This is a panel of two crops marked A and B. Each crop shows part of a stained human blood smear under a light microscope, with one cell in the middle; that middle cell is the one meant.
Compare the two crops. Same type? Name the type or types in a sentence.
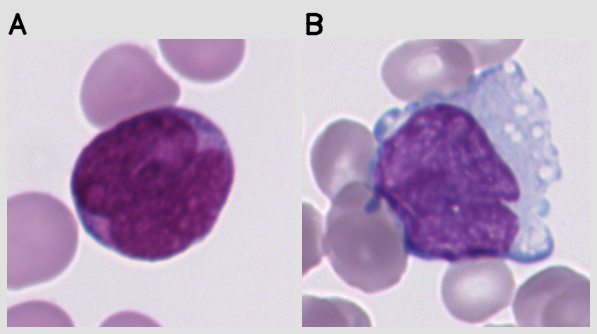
Yes, myeloblasts are at the centre in both crops.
